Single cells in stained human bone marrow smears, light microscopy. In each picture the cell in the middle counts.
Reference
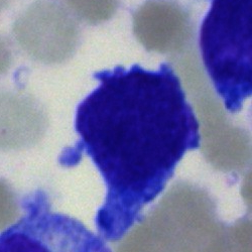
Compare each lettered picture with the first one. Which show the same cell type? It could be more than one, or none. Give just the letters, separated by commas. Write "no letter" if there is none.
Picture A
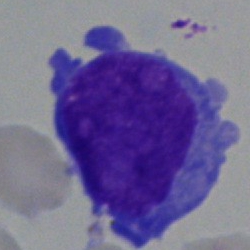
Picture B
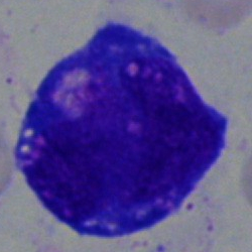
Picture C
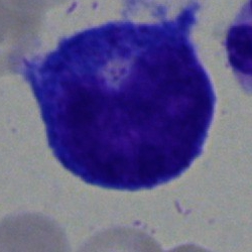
A, B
